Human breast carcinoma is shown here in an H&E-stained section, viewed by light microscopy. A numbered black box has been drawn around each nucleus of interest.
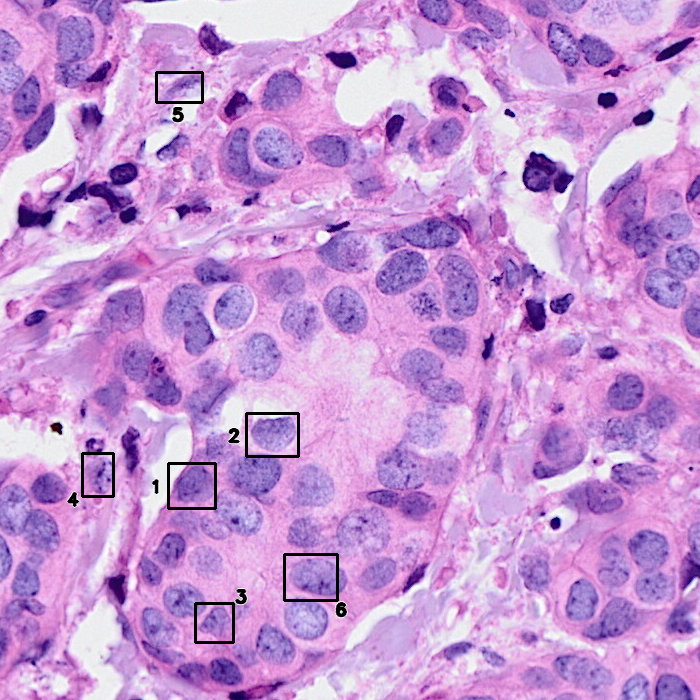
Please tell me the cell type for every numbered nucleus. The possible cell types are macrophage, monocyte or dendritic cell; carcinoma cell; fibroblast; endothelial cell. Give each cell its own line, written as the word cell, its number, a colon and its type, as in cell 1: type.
cell 1: carcinoma cell
cell 2: carcinoma cell
cell 3: carcinoma cell
cell 4: macrophage, monocyte or dendritic cell
cell 5: fibroblast
cell 6: carcinoma cell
